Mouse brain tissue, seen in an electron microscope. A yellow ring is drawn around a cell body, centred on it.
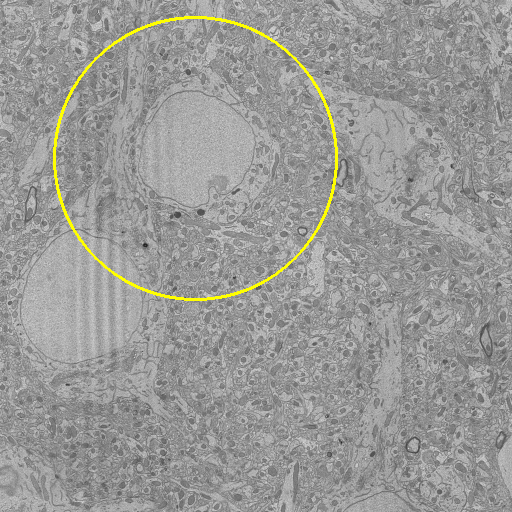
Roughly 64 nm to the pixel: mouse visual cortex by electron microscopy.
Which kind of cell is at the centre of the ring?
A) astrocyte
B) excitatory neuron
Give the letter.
B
